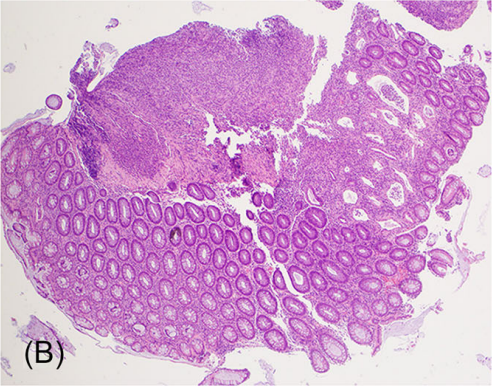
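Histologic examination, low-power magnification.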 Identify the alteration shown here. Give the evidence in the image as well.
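Regular crypts remain in the lower part of the fragment.
Conclusion: mucosal ulceration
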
